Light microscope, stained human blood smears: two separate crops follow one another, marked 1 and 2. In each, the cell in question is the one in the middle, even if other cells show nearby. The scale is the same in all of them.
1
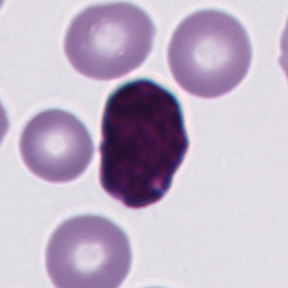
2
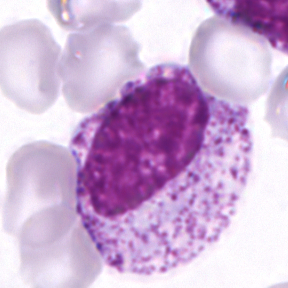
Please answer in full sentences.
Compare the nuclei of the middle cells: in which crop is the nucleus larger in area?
The nucleus in picture 2 is larger, with about 1.5 times the area of the one in picture 1.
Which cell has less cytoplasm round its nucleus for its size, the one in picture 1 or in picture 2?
The nucleus fills more of the cell in picture 1 than in picture 2.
